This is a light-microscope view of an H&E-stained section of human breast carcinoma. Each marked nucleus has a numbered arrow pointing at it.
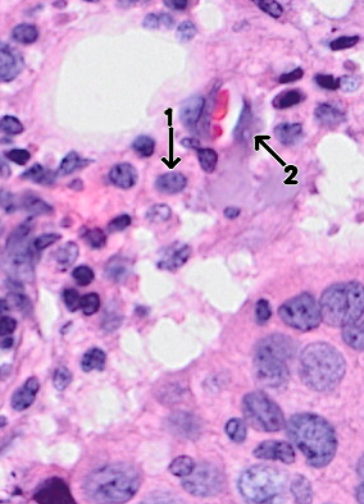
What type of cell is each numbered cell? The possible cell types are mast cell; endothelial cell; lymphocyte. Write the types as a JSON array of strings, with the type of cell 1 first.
["mast cell", "endothelial cell"]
